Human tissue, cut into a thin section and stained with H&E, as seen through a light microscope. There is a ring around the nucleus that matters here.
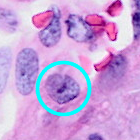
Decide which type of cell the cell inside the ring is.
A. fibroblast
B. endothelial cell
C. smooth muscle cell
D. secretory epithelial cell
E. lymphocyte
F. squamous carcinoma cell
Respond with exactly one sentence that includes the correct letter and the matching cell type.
According to option B, the cell inside the ring is an endothelial cell, and this is correct.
